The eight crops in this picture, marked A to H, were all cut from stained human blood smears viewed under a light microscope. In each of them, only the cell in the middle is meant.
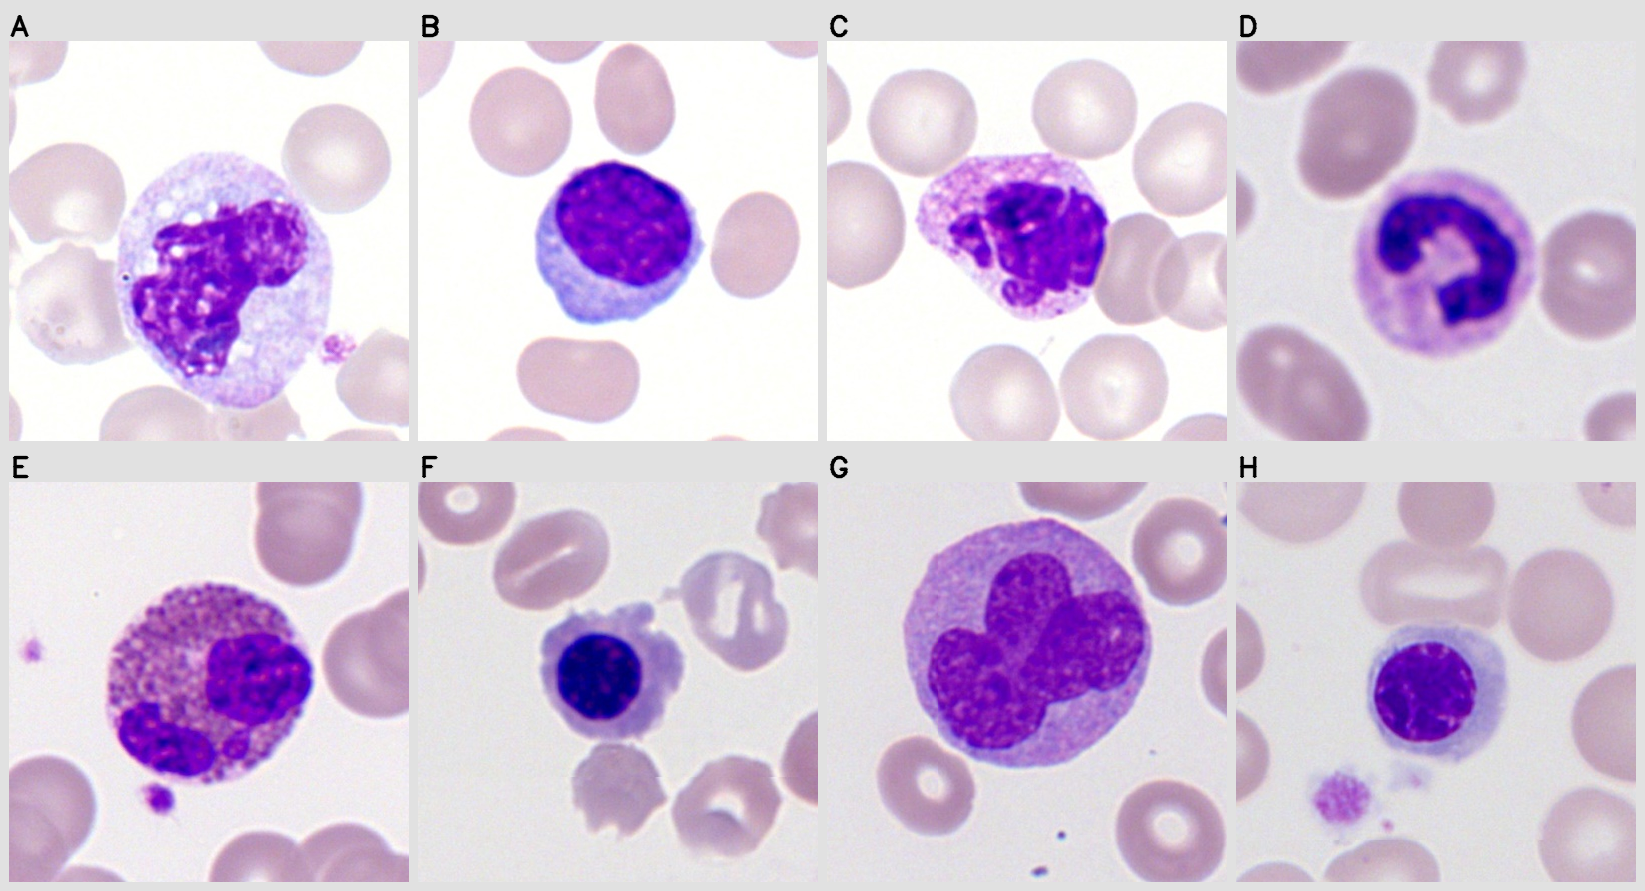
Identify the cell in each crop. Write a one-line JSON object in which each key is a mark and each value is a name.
{"A": "monocyte", "B": "lymphocyte", "C": "basophil", "D": "band neutrophil", "E": "eosinophil", "F": "erythroblast", "G": "monocyte", "H": "erythroblast"}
